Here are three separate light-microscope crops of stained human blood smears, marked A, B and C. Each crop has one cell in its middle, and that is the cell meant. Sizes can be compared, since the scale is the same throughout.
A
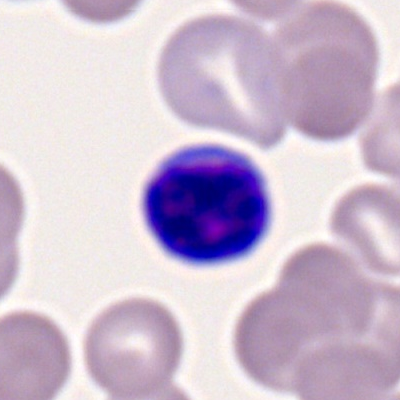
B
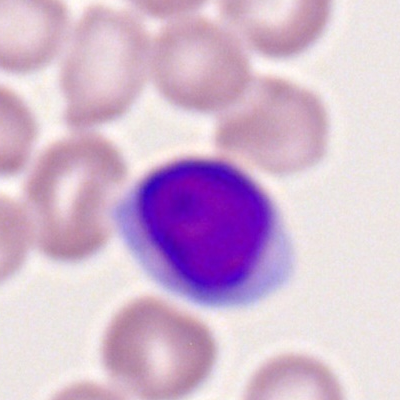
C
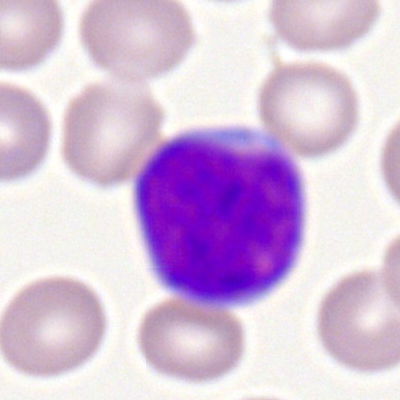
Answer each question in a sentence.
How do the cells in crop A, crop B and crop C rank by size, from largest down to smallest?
From the largest down, the order is C, B, A.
